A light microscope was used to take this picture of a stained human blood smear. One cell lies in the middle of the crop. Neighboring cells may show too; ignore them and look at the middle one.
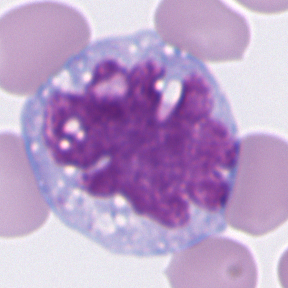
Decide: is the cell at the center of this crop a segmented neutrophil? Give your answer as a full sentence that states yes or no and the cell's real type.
No, it isn't a segmented neutrophil; what sits in the middle is a monocyte.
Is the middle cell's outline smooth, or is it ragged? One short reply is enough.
Smooth outline, no projections: that is the whole story of its edge.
